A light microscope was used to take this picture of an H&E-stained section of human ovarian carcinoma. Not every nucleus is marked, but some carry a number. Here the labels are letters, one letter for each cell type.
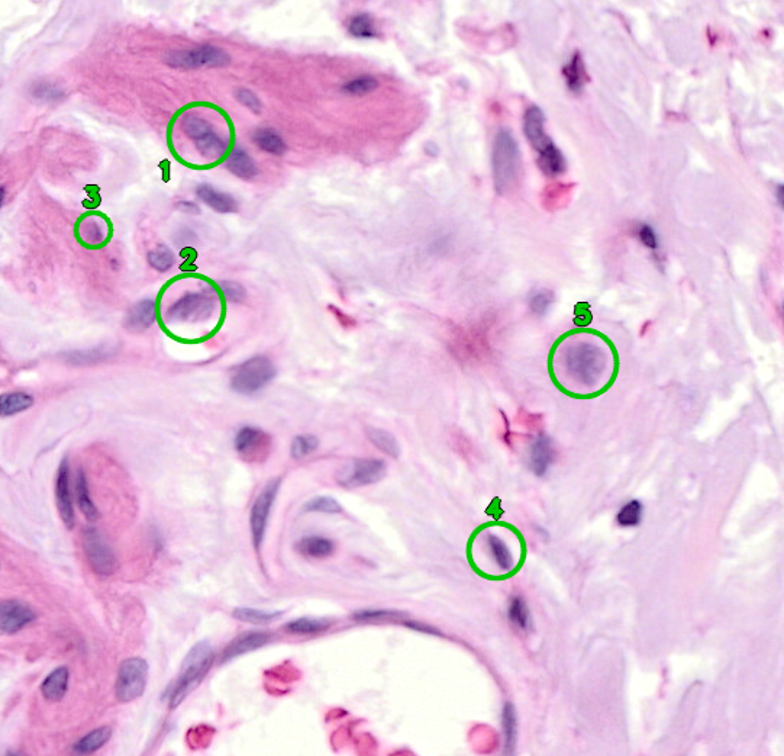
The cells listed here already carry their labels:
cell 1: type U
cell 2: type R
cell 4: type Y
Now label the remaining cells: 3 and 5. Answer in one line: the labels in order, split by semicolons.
type U; type Y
